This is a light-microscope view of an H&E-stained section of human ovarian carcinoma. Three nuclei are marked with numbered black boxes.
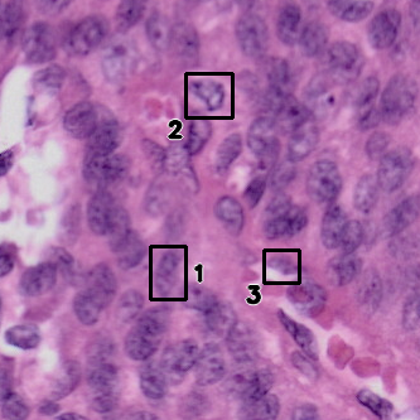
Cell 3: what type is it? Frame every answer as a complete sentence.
The numeral 3 marks an endothelial cell in this section.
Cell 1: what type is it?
The cell numbered 1 has been identified as a carcinoma cell.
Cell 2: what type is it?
The nucleus marked 2 is the nucleus of a macrophage or monocyte.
